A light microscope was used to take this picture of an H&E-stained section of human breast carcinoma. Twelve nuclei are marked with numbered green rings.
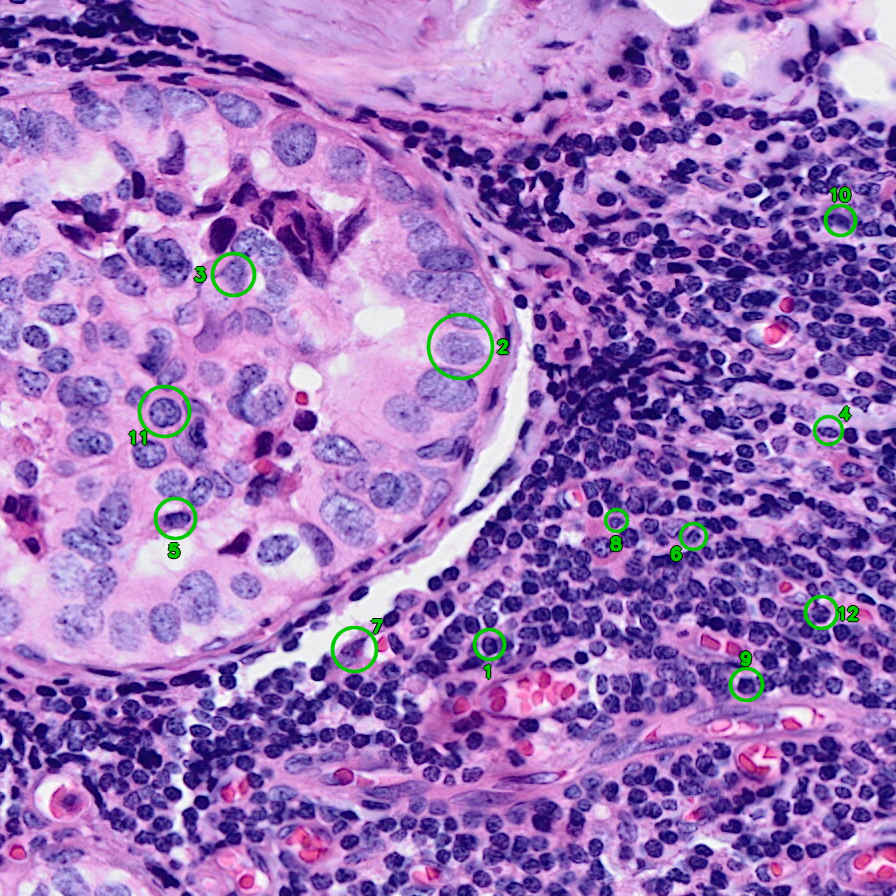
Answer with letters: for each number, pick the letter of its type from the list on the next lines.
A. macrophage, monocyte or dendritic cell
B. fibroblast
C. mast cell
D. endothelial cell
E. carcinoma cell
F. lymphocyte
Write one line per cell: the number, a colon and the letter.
1: F
2: E
3: E
4: F
5: E
6: F
7: D
8: F
9: F
10: F
11: E
12: F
